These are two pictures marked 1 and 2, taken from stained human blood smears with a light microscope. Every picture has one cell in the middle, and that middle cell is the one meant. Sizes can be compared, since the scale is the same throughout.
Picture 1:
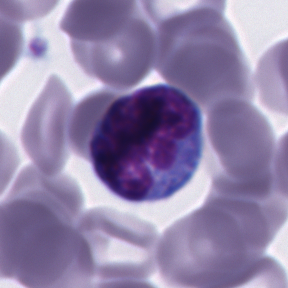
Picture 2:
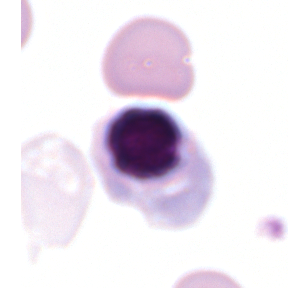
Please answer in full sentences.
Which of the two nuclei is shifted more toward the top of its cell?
Seen within its cell, the nucleus in picture 2 lies further toward the top.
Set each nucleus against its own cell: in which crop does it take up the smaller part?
The nucleus fills less of the cell in picture 2 than in picture 1.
